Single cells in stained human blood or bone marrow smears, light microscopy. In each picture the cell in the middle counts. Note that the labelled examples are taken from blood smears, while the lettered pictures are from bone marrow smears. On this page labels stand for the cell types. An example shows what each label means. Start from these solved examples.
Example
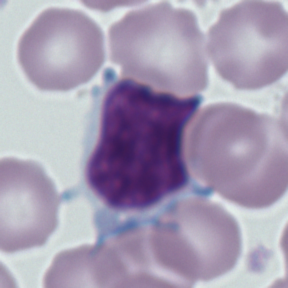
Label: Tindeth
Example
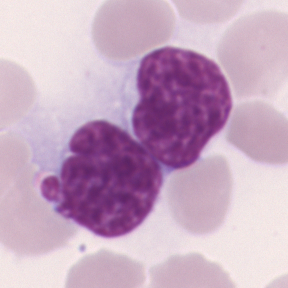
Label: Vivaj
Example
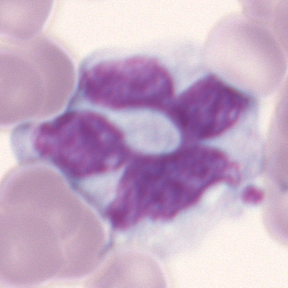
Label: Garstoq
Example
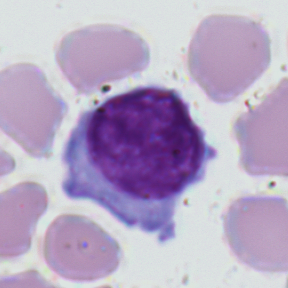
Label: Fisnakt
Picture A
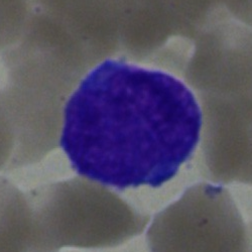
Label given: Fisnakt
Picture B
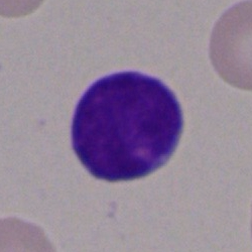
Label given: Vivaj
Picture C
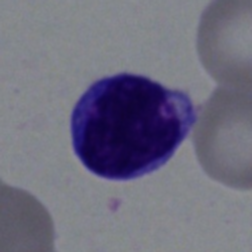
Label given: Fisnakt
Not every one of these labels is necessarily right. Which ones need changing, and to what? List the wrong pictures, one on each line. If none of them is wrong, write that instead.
A should be Vivaj, not Fisnakt
C should be Tindeth, not Fisnakt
